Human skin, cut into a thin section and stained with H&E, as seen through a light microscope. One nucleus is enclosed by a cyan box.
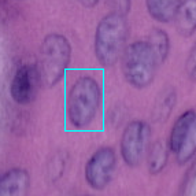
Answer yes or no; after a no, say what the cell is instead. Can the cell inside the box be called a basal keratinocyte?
No, it is a suprabasal keratinocyte.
